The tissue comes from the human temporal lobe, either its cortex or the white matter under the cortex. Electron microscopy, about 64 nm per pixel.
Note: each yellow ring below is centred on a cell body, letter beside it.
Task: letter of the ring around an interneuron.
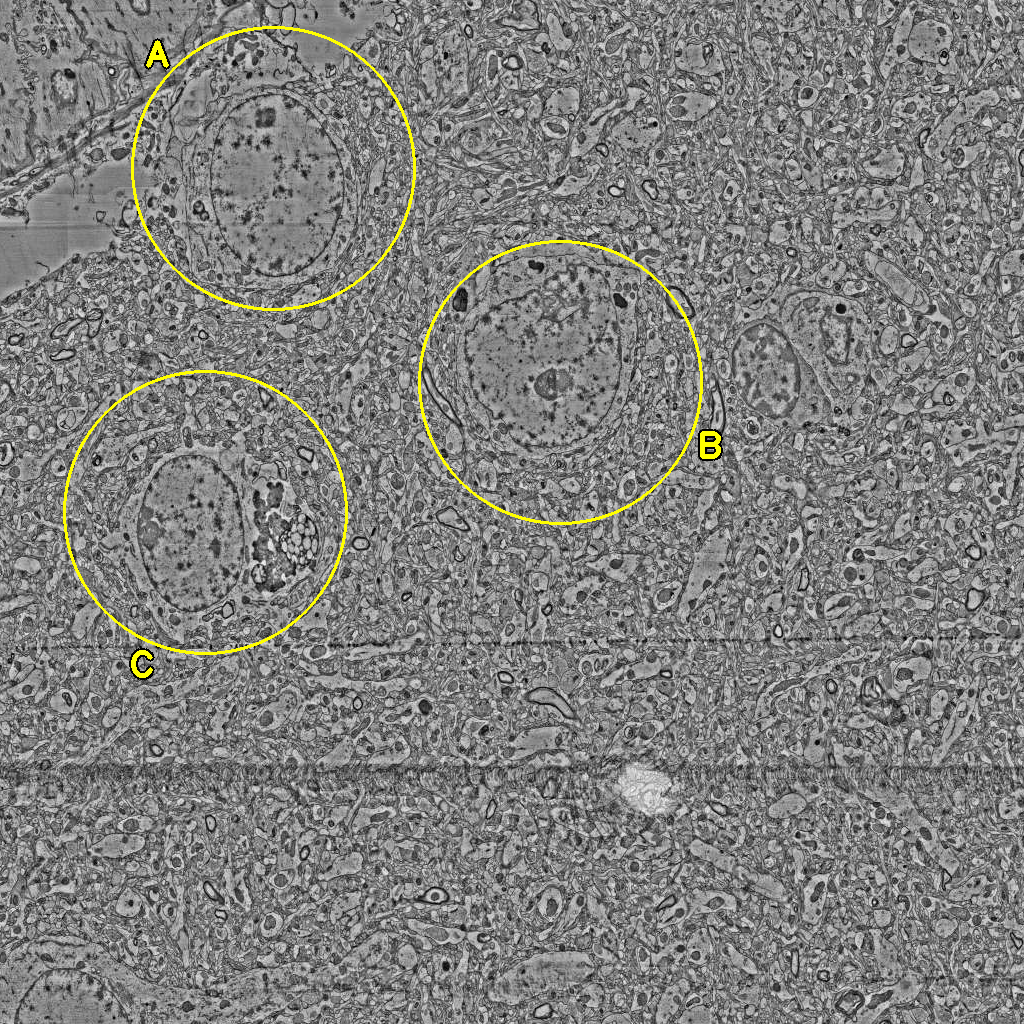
B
